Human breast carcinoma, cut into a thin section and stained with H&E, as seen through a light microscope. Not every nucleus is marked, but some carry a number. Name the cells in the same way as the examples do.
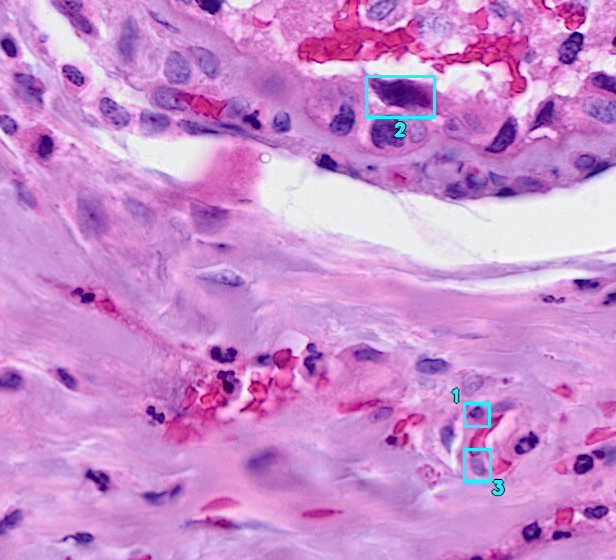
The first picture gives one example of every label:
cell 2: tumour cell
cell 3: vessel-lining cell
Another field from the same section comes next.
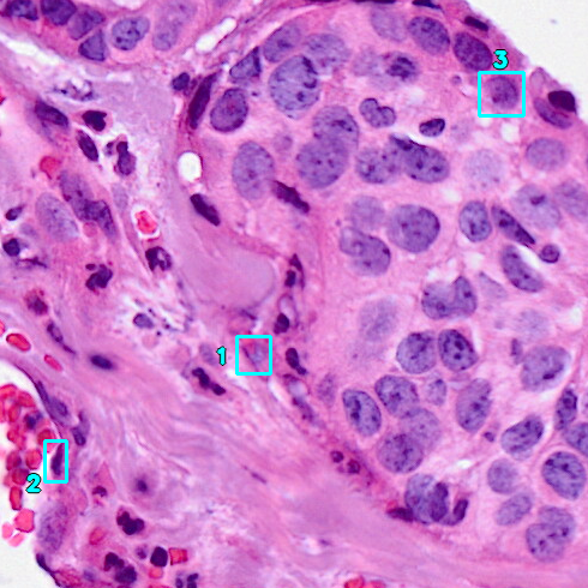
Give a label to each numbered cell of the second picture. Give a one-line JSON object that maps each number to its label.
{"1": "vessel-lining cell", "2": "vessel-lining cell", "3": "tumour cell"}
